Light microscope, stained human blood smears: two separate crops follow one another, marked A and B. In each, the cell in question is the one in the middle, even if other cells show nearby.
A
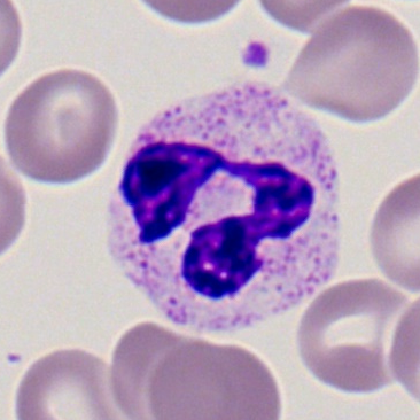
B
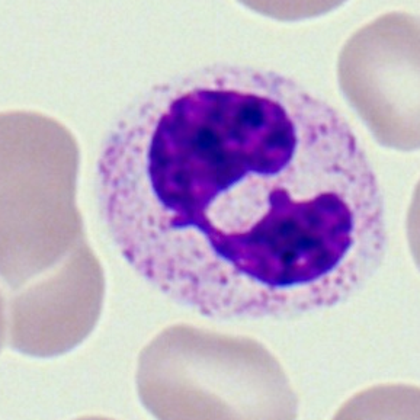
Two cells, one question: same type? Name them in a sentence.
Yes, both crops show segmented neutrophils, and that holds for each one.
